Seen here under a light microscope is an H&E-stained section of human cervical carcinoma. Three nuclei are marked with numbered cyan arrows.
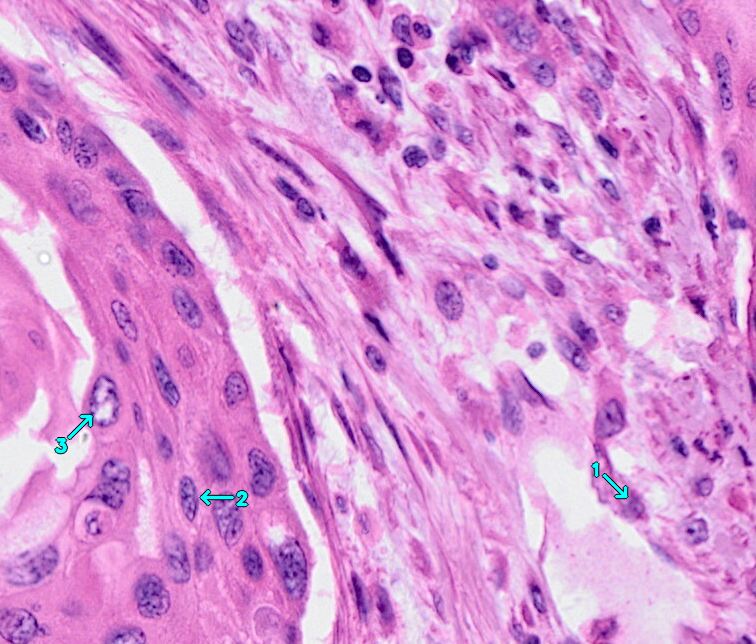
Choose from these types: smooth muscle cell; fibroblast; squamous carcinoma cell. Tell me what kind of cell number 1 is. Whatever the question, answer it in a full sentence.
The nucleus marked 1 is the nucleus of a fibroblast.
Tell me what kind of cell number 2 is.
In this section, number 2 marks a squamous carcinoma cell.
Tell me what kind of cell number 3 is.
The mark numbered 3 indicates the nucleus of a squamous carcinoma cell.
